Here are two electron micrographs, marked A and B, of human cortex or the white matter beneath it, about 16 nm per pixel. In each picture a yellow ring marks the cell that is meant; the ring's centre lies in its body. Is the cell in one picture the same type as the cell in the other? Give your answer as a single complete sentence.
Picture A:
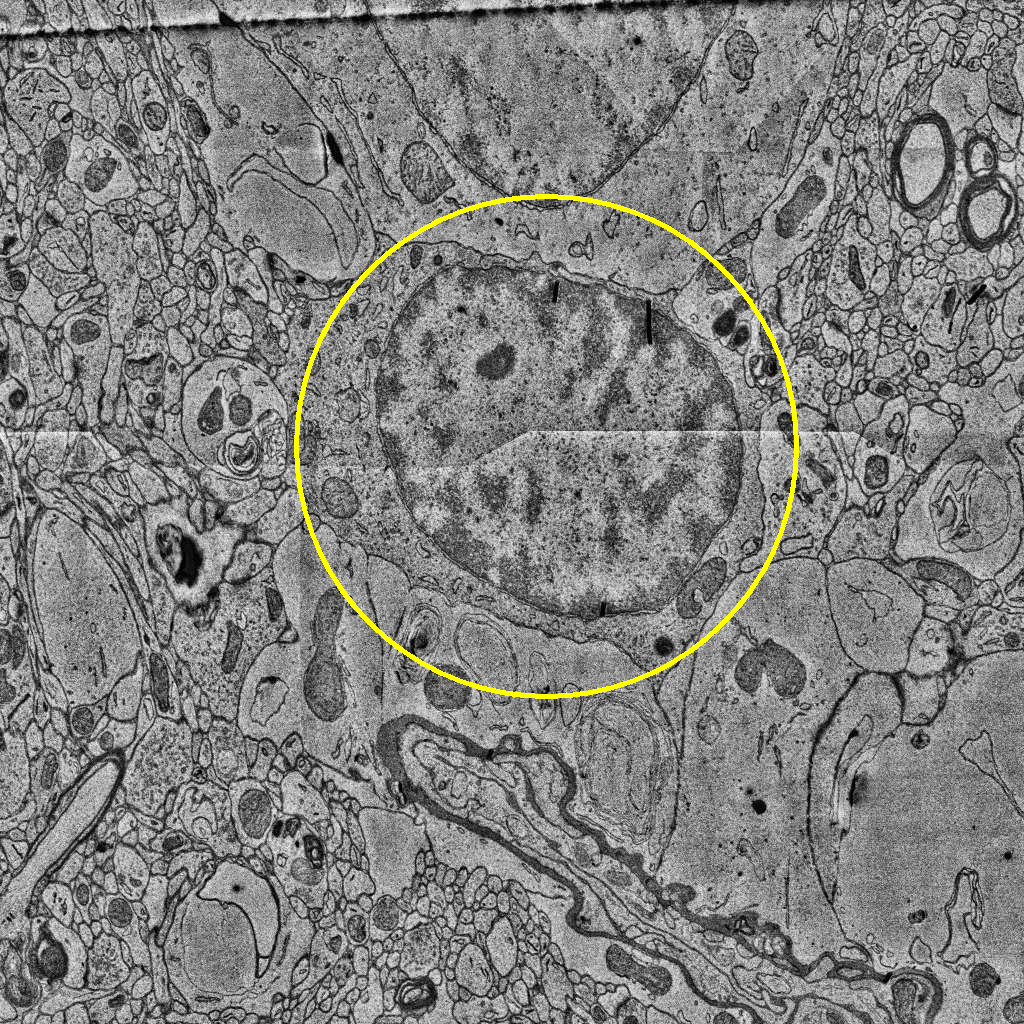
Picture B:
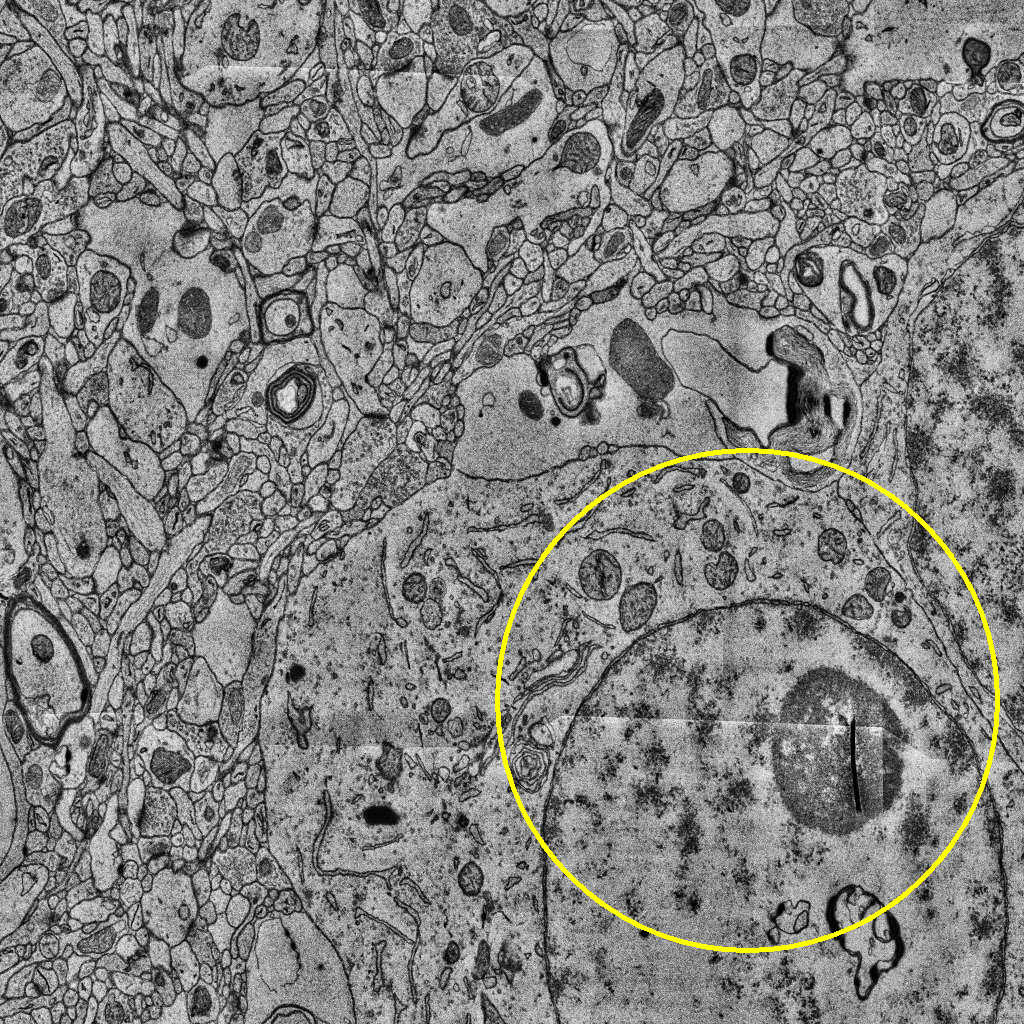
No, picture A shows an oligodendrocyte and picture B shows a pyramidal neuron.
